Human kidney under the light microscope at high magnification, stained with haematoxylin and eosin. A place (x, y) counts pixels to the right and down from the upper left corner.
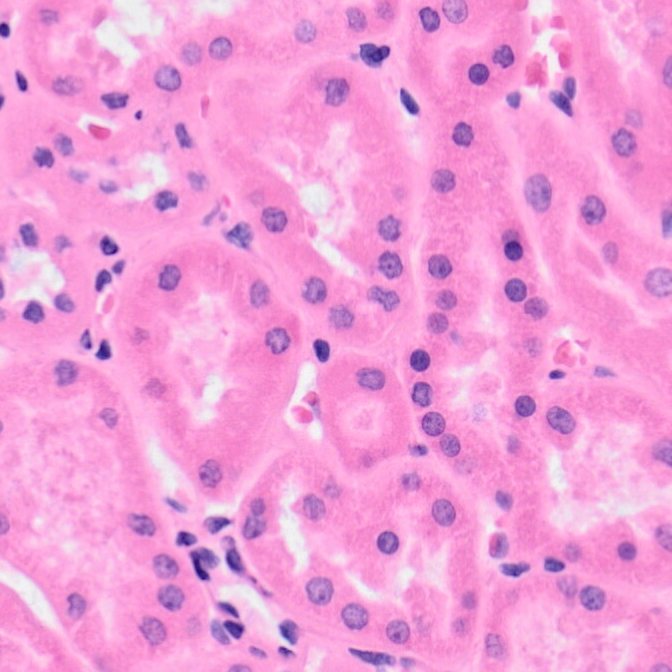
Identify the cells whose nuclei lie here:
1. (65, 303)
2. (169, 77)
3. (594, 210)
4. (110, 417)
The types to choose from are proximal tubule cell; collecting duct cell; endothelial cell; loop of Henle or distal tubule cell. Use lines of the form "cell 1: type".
cell 1: loop of Henle or distal tubule cell
cell 2: proximal tubule cell
cell 3: proximal tubule cell
cell 4: proximal tubule cell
